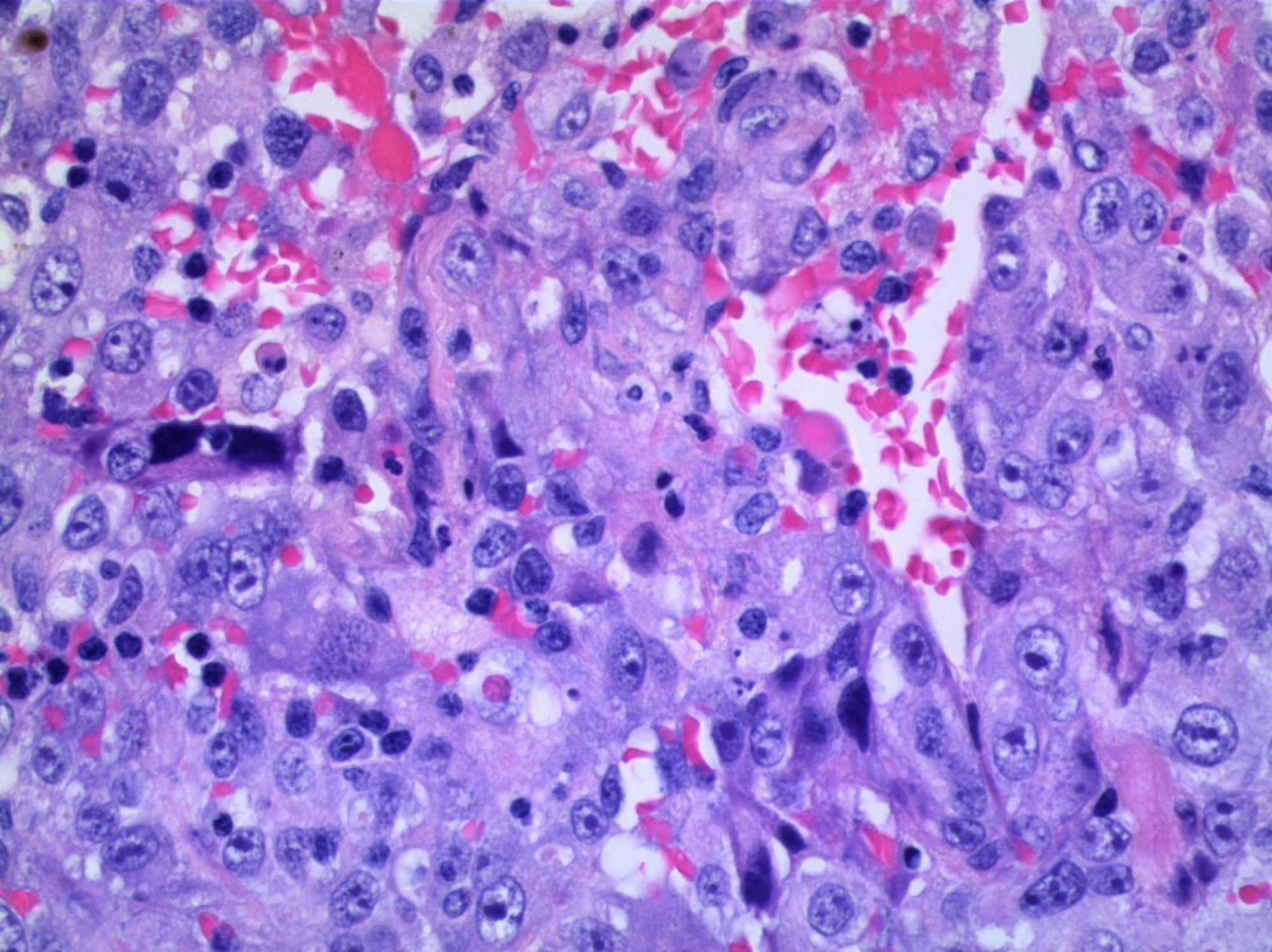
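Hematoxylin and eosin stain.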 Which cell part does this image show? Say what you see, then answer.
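Many nuclei contain a single large, dark-staining nucleolus. The nucleoli stand out against pale nuclear chromatin.
Hence: prominent nucleoli.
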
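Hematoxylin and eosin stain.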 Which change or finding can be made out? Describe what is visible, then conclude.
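Highly malignant appearing cells. Large polygonal cells lie in crowded sheets. Nuclei are enlarged and vary in size and shape. A bizarre, very dark, elongated multilobed nucleus sits at the left. Nuclei show conspicuous nucleoli.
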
